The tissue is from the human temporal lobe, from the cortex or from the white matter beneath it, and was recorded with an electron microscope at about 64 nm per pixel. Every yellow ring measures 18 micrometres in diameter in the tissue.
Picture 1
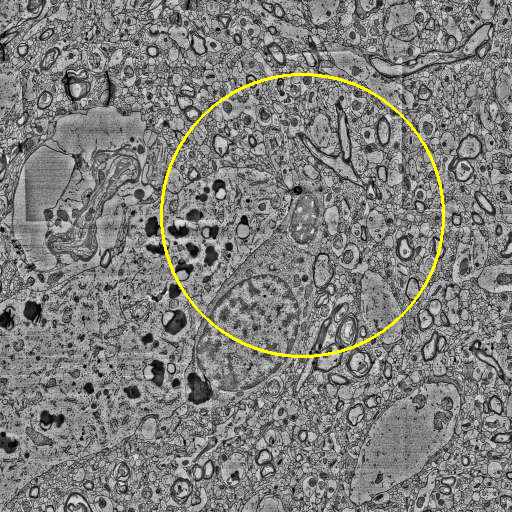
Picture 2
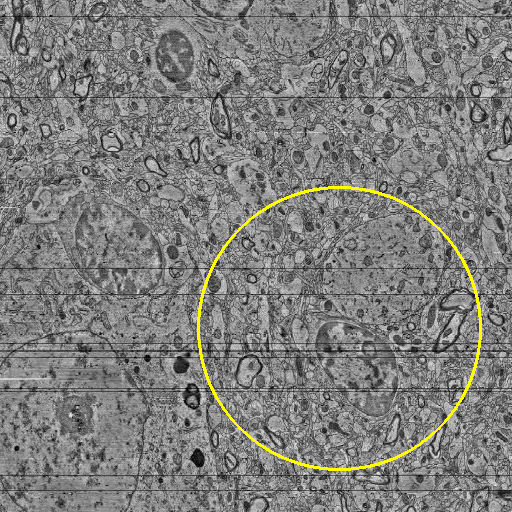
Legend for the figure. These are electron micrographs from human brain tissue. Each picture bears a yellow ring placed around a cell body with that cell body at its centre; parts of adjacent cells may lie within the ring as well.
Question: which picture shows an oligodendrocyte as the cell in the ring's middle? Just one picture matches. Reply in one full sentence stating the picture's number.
It is picture 1 whose yellow ring is centred on the requested cell.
